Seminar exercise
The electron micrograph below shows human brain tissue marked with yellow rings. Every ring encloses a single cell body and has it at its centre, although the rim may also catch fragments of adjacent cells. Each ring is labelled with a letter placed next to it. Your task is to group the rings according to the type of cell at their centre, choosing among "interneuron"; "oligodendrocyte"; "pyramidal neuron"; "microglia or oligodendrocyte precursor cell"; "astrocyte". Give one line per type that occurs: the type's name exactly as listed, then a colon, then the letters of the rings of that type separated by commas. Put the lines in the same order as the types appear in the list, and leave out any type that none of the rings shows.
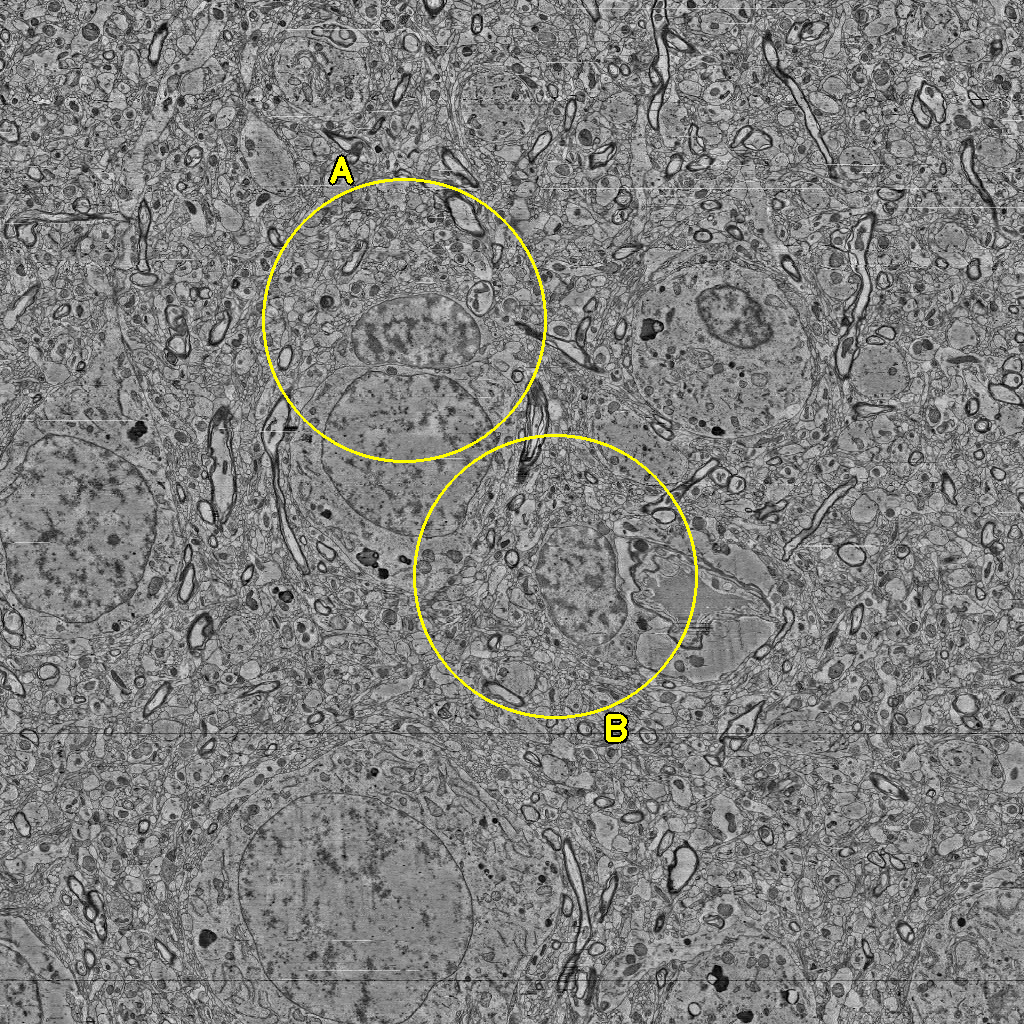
oligodendrocyte: A, B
